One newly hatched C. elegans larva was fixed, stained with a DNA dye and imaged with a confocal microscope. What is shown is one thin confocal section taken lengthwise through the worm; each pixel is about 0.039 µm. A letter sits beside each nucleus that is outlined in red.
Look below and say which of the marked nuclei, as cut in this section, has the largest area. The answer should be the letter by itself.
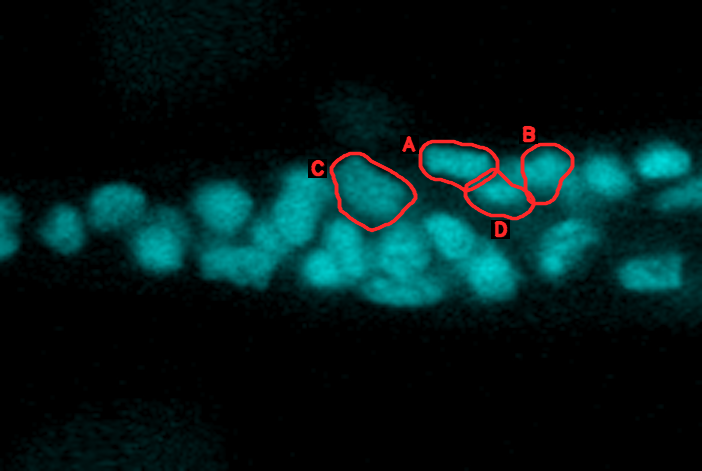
C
